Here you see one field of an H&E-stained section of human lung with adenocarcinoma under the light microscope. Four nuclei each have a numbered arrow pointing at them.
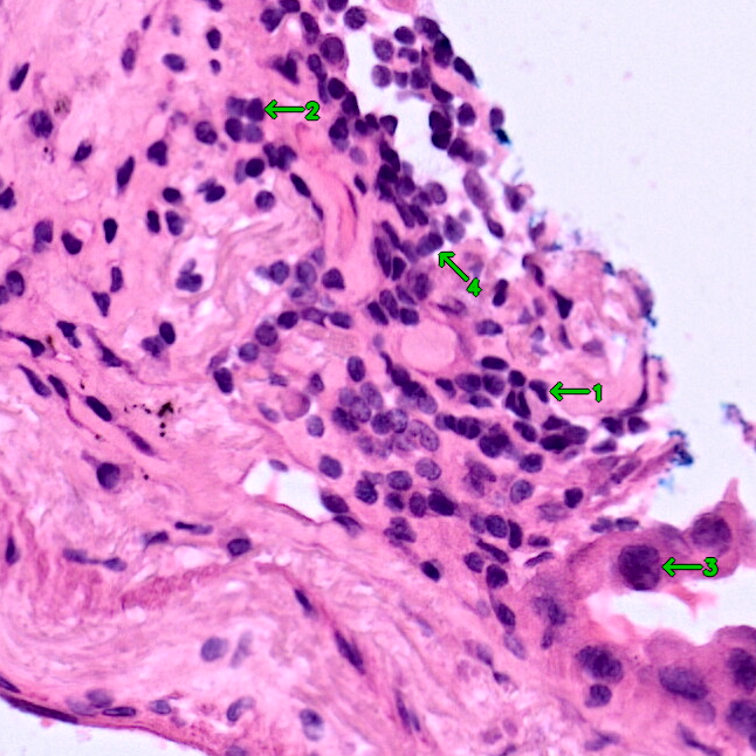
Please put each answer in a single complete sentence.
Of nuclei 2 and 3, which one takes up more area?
At about 4 times the area of nucleus 2, nucleus 3 is the larger of the two.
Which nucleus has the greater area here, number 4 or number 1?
Number 4 is larger; its area is about 2 times that of number 1.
